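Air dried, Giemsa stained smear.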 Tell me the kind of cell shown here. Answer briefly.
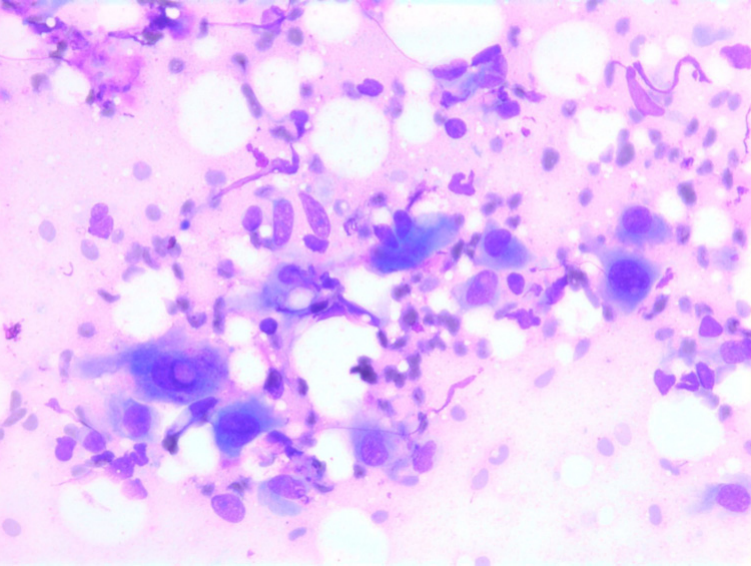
Spindle and polygonal cells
